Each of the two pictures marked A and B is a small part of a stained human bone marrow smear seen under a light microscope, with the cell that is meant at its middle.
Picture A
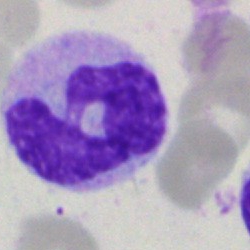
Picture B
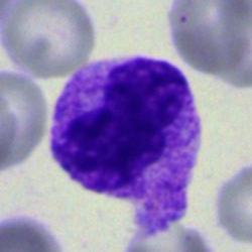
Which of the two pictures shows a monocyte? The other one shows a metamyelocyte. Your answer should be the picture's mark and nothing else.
A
